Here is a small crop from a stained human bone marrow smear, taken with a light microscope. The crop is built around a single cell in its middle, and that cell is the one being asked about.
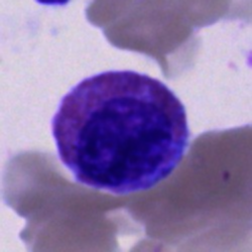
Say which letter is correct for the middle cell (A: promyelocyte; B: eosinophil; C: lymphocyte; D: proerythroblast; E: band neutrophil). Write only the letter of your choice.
B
